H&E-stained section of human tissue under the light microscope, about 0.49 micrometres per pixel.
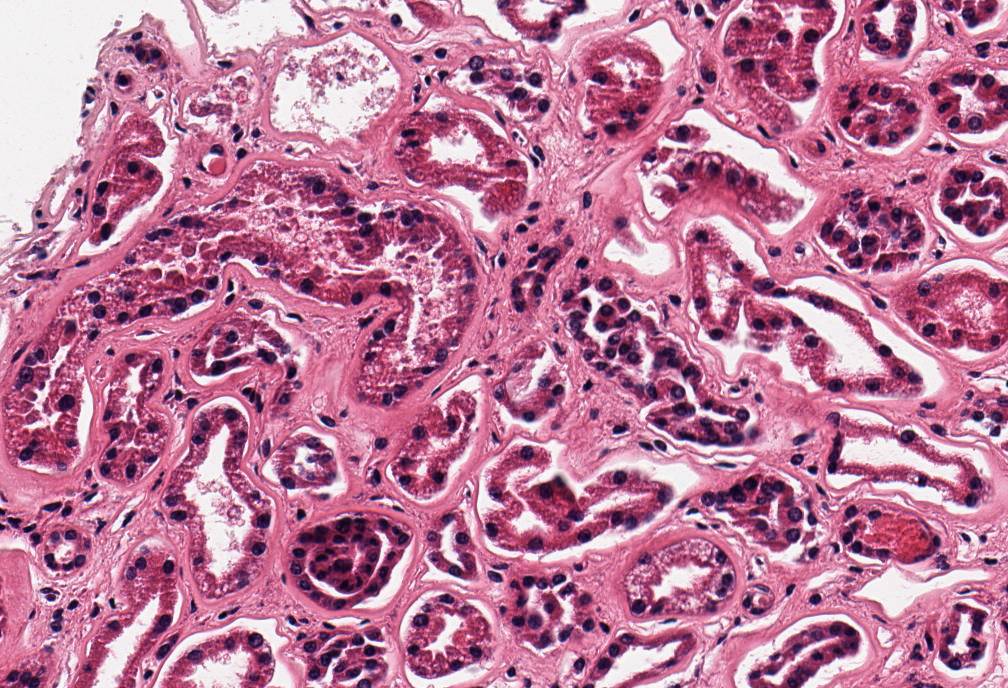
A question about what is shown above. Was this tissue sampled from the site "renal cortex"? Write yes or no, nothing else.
yes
